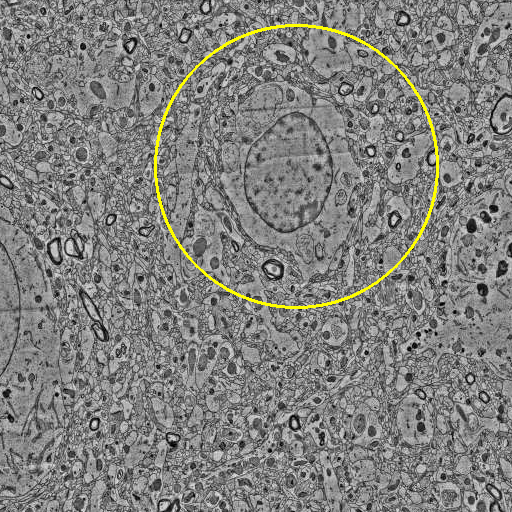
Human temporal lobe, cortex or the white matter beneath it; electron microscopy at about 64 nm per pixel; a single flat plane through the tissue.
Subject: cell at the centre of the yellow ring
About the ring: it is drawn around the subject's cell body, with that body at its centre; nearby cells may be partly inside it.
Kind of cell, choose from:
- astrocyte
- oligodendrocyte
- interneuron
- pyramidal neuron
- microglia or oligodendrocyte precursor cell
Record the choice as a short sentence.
The subject cell is an astrocyte.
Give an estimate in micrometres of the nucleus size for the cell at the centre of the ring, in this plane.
About 8 by 6 micrometres in this plane.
